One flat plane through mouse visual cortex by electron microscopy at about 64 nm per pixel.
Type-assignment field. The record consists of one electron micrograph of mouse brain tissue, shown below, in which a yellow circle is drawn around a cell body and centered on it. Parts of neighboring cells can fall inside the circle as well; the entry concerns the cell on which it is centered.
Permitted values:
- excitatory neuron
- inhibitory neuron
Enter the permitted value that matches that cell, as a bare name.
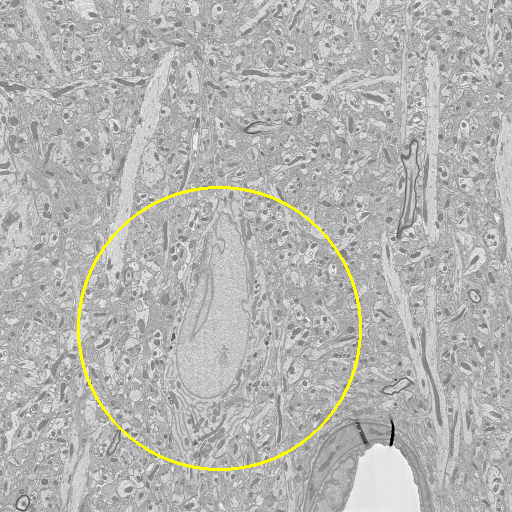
inhibitory neuron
